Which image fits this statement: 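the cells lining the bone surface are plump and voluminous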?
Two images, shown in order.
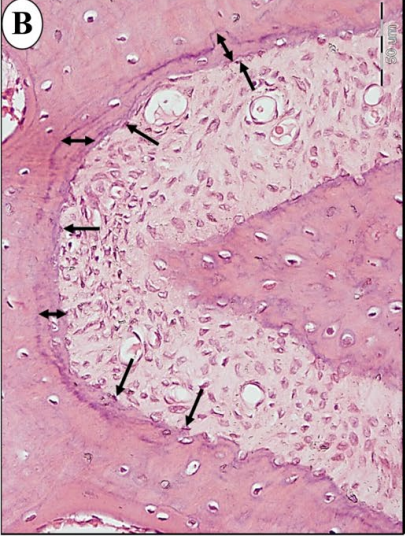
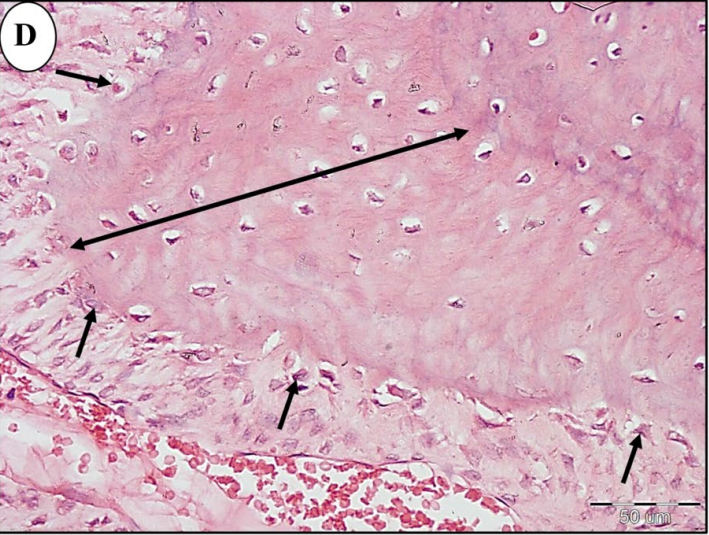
The second image.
